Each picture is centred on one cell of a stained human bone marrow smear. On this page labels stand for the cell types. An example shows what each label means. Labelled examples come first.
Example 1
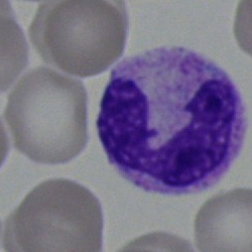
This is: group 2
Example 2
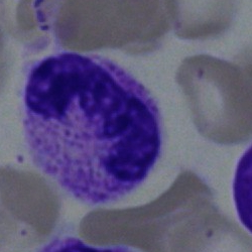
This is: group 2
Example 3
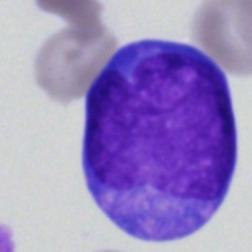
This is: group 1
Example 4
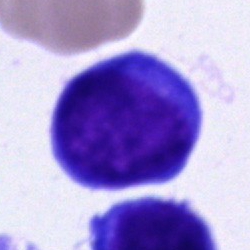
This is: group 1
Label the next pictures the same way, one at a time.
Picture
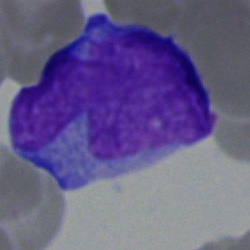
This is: group 1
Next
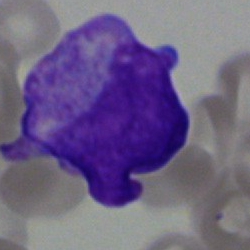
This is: group 1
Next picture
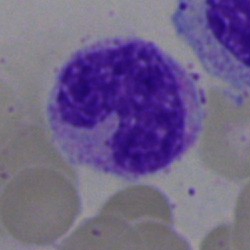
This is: group 2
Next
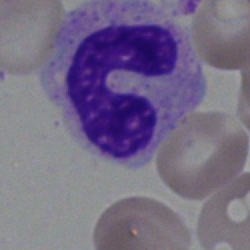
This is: group 2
